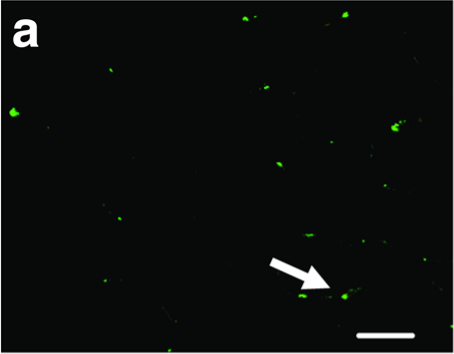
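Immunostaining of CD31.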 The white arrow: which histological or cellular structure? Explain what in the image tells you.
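Capillary. The arrow points to a small green spot. Small green spots are scattered sparsely over a dark field.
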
